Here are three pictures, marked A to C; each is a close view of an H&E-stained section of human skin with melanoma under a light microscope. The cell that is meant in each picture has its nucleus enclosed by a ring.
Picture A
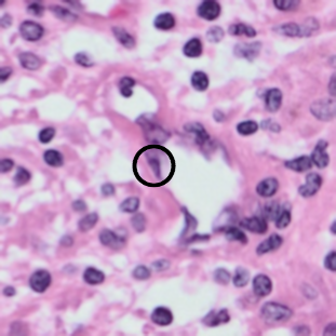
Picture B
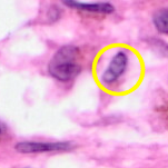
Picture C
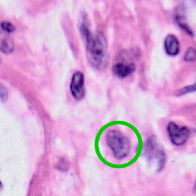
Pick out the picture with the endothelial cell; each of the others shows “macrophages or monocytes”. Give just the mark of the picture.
A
